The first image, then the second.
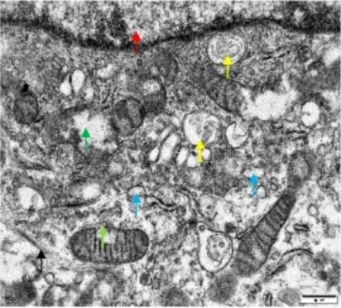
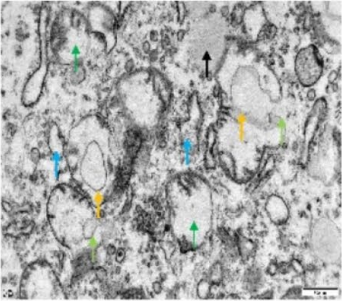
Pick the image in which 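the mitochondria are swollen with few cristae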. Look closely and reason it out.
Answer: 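Second image: many large pale round mitochondria with little internal structure. First image: dense elongated mitochondria with clear parallel cristae. The answer: the second image.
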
